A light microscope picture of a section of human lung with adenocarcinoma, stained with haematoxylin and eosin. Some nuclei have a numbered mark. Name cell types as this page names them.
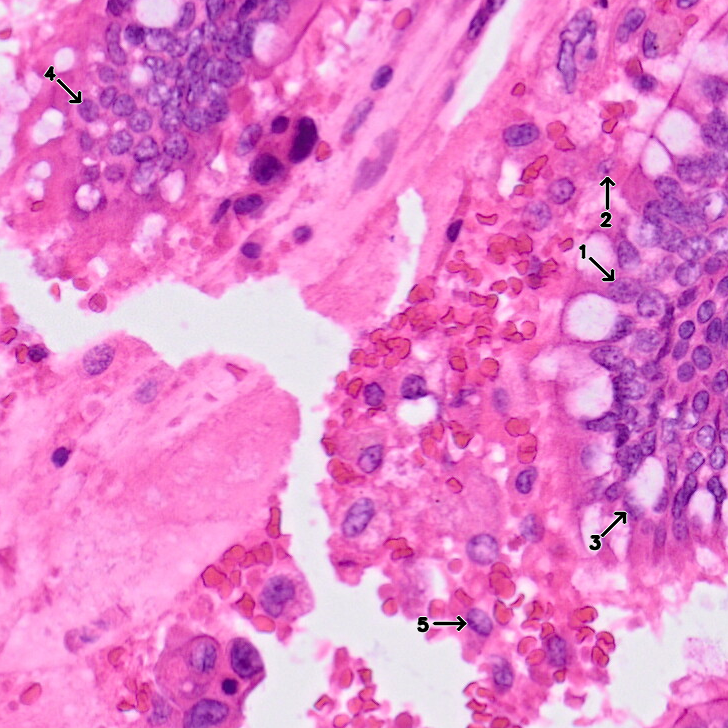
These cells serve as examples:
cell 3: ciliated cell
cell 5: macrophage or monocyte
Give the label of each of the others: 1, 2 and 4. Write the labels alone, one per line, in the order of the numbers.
ciliated cell
macrophage or monocyte
ciliated cell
